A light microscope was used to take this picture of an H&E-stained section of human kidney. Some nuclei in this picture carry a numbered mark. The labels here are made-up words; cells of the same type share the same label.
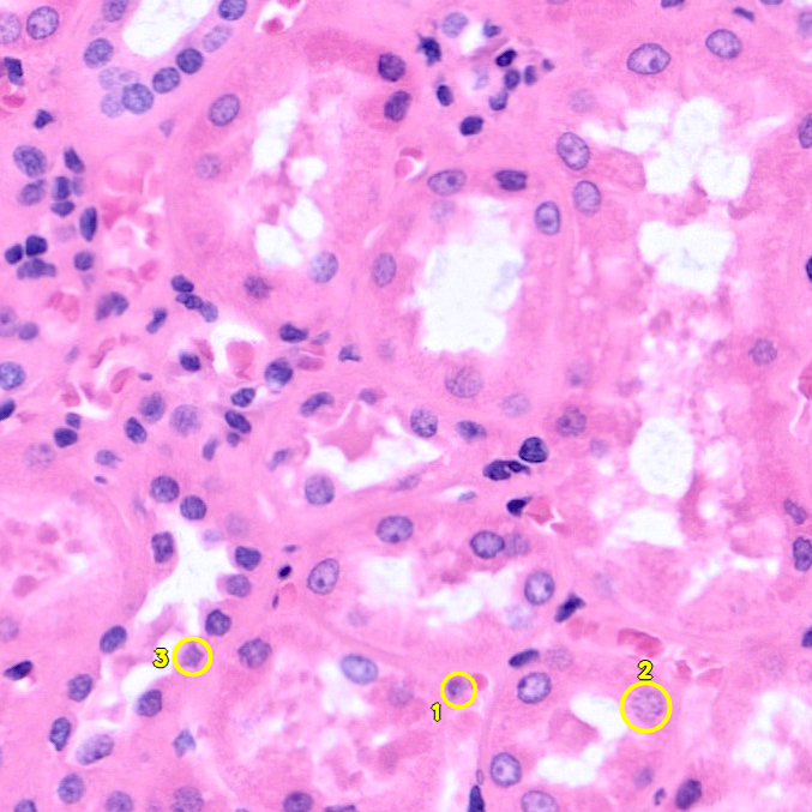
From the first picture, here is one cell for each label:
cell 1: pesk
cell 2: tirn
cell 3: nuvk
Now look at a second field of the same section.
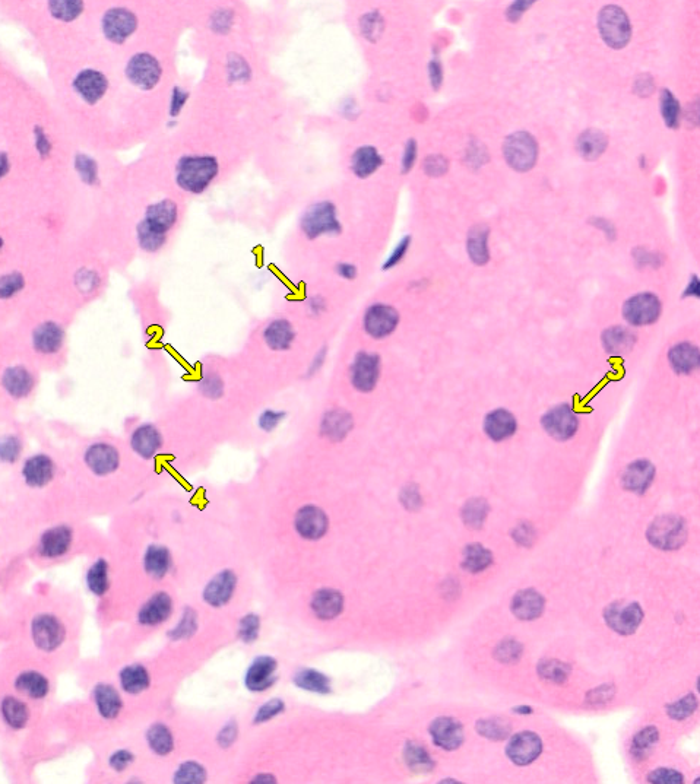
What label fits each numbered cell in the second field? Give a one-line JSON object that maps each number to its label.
{"1": "nuvk", "2": "nuvk", "3": "tirn", "4": "nuvk"}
